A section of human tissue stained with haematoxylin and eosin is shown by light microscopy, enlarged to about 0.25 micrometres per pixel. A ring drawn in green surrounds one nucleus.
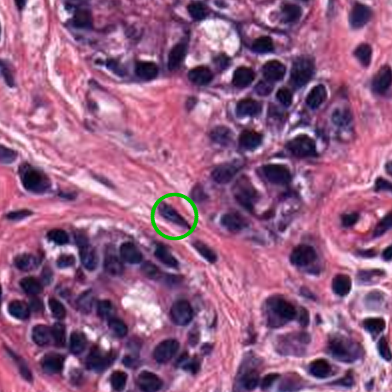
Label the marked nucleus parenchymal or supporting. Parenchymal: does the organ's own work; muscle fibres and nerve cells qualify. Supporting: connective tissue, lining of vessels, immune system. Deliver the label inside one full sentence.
That the marked nucleus belongs to a supporting cell is what the section shows.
